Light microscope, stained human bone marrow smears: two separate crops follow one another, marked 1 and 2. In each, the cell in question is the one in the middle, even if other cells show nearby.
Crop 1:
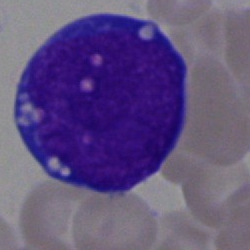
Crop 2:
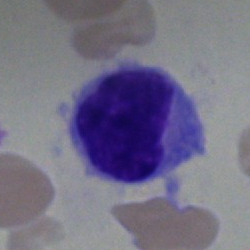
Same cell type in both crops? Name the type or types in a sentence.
No, crop 1 offers a blast, while crop 2 offers a hairy cell.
